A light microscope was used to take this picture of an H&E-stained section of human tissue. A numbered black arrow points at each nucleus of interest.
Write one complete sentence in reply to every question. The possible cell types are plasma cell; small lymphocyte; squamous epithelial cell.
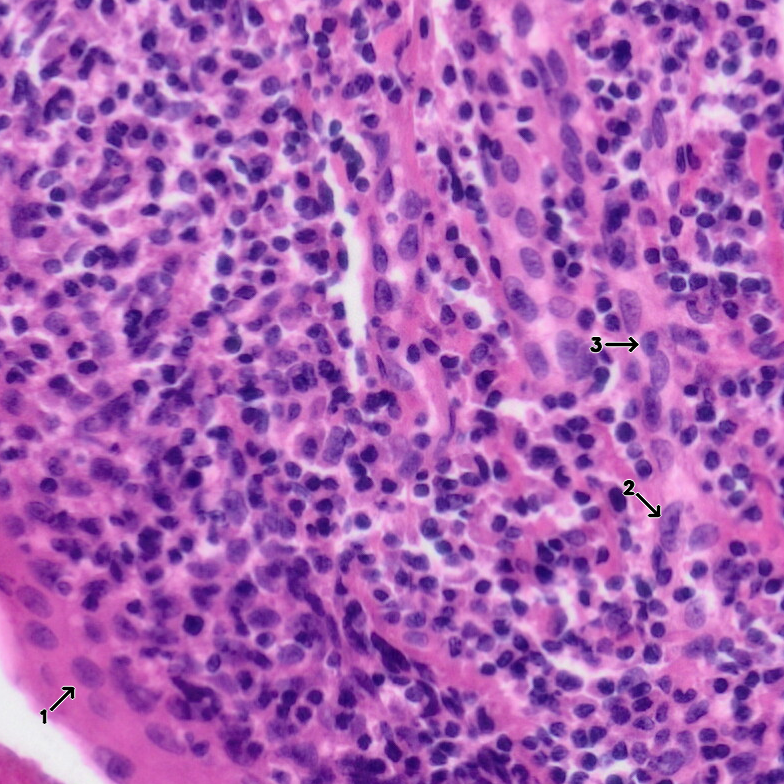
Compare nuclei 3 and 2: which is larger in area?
Number 2 is larger; its area is about 2.5 times that of number 3.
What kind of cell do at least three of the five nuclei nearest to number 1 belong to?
Most of the five nuclei nearest to number 1 are those of squamous epithelial cells.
